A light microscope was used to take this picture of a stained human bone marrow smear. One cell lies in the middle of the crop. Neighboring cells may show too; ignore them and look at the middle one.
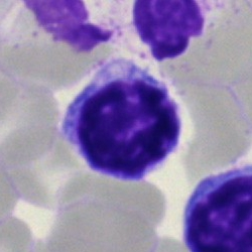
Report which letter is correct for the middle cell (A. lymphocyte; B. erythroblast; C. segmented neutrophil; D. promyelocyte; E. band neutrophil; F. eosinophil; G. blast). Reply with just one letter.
A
